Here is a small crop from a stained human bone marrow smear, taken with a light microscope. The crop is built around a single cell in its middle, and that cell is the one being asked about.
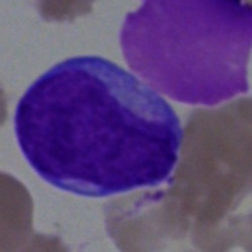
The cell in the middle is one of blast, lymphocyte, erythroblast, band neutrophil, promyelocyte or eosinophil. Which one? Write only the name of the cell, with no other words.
blast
